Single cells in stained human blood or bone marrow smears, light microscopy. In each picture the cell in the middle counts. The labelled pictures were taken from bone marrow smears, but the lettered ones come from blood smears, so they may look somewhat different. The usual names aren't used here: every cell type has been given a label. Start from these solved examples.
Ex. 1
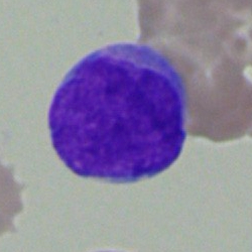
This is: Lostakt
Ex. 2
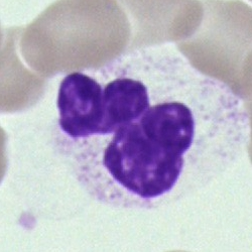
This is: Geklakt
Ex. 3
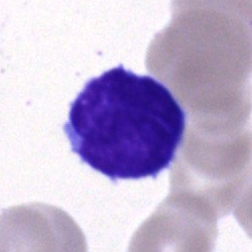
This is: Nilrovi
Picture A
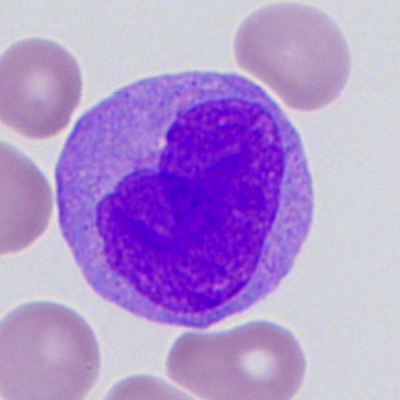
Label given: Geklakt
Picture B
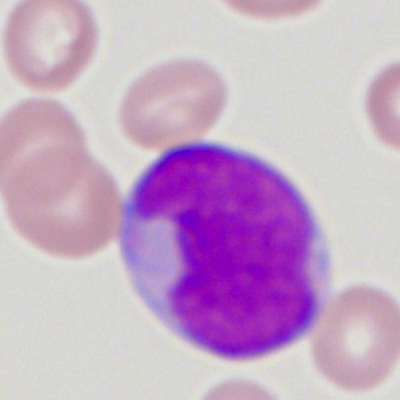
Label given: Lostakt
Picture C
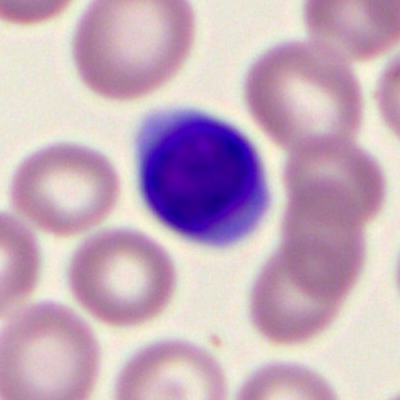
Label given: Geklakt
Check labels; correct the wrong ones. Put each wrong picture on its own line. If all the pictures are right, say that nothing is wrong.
A should be Lostakt, not Geklakt
C should be Nilrovi, not Geklakt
